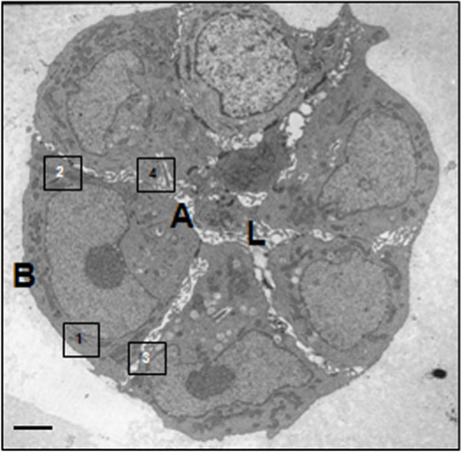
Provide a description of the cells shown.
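A thin section through a small spherical cluster of epithelial cells forming an acinus. About half a dozen wedge-shaped cells are arranged radially, their broad bases making a smooth continuous outer border and their narrow tips converging on a small central lumen. The cytoplasm is finely granular with scattered organelles.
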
